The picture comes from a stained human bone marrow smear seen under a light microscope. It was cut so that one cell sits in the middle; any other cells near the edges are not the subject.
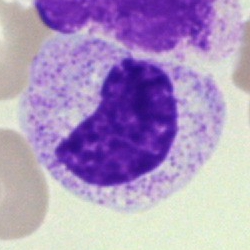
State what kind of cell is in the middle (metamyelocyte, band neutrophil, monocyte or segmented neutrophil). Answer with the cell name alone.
metamyelocyte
